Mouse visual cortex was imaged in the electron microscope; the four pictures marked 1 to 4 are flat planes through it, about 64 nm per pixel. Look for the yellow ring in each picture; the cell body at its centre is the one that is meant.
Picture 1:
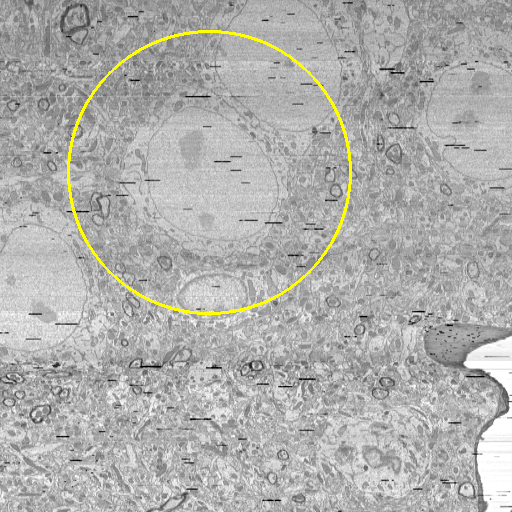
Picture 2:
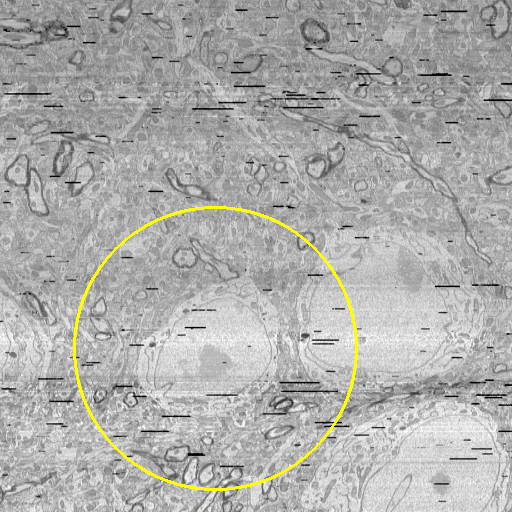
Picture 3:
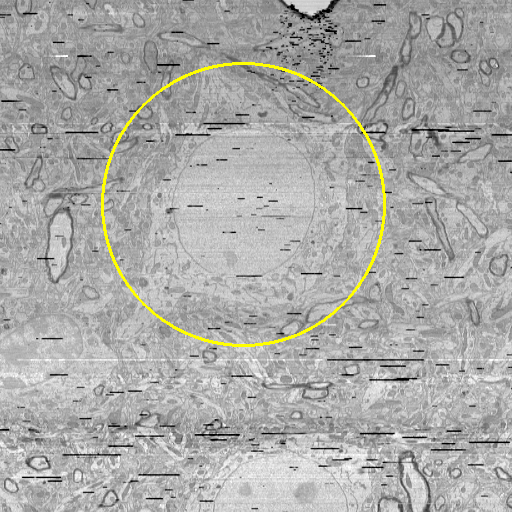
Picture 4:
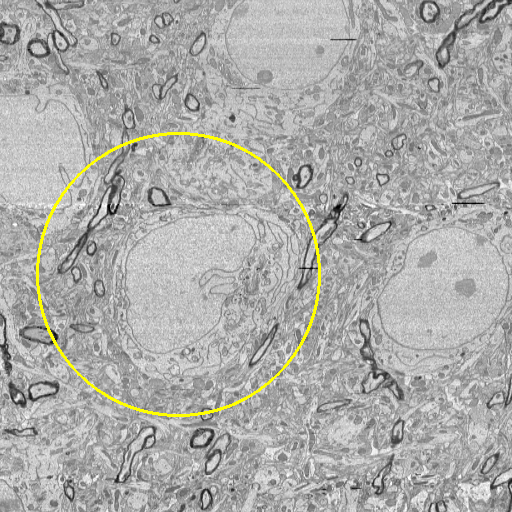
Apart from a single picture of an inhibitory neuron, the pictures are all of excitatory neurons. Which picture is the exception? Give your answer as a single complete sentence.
The picture with the inhibitory neuron is 4.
